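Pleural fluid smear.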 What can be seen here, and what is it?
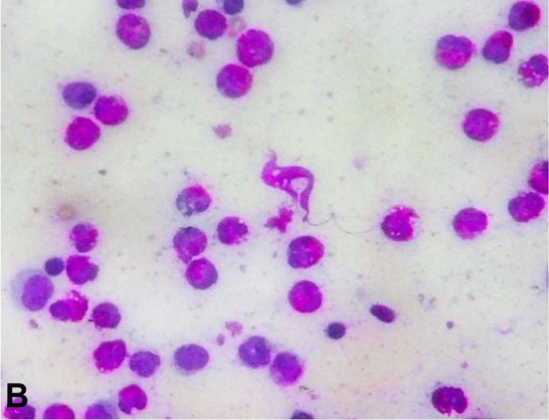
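Look at how many of the cells have cytoplasm packed with bright pink to magenta granules, so dense that they sometimes hide the nucleus. Where the nucleus shows, it stains dark purple and in several cells it is split into two lobes. A few smaller cells with a dark, round nucleus and little cytoplasm sit among them, and faint pale discs of red cells appear here and there.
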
